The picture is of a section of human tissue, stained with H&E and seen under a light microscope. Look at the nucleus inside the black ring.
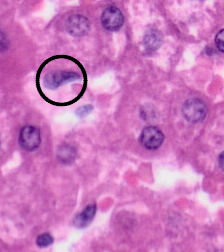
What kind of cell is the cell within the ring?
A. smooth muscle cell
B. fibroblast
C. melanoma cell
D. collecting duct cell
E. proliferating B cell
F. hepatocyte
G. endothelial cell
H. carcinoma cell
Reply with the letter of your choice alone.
G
